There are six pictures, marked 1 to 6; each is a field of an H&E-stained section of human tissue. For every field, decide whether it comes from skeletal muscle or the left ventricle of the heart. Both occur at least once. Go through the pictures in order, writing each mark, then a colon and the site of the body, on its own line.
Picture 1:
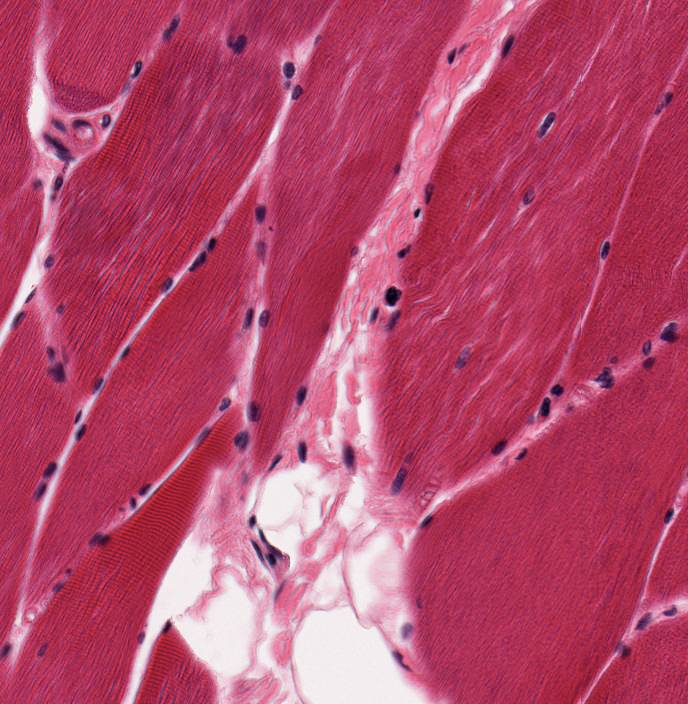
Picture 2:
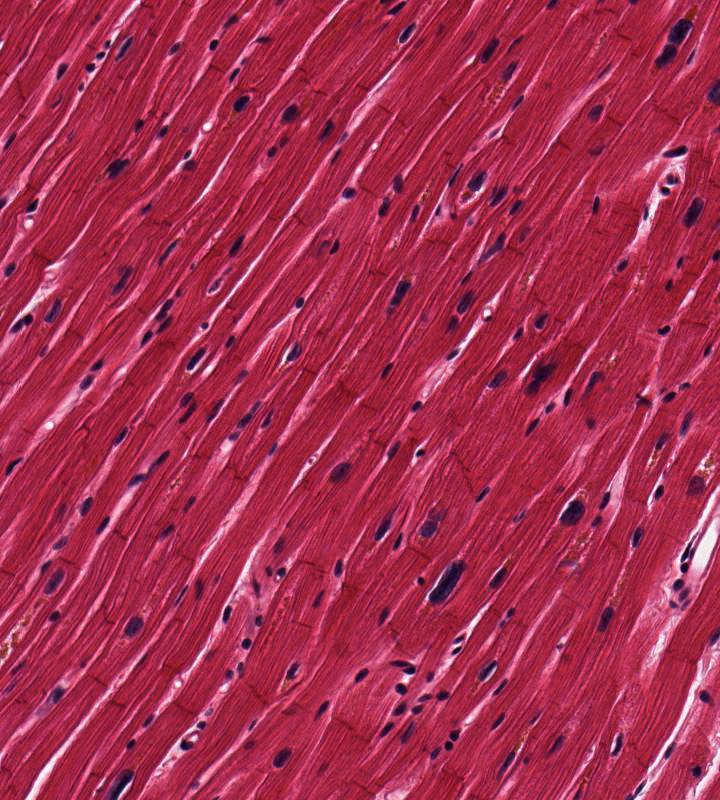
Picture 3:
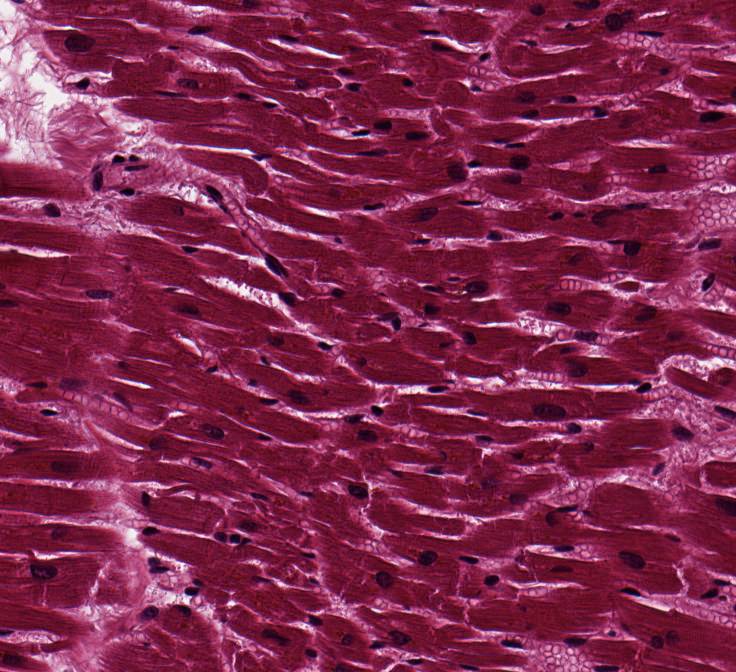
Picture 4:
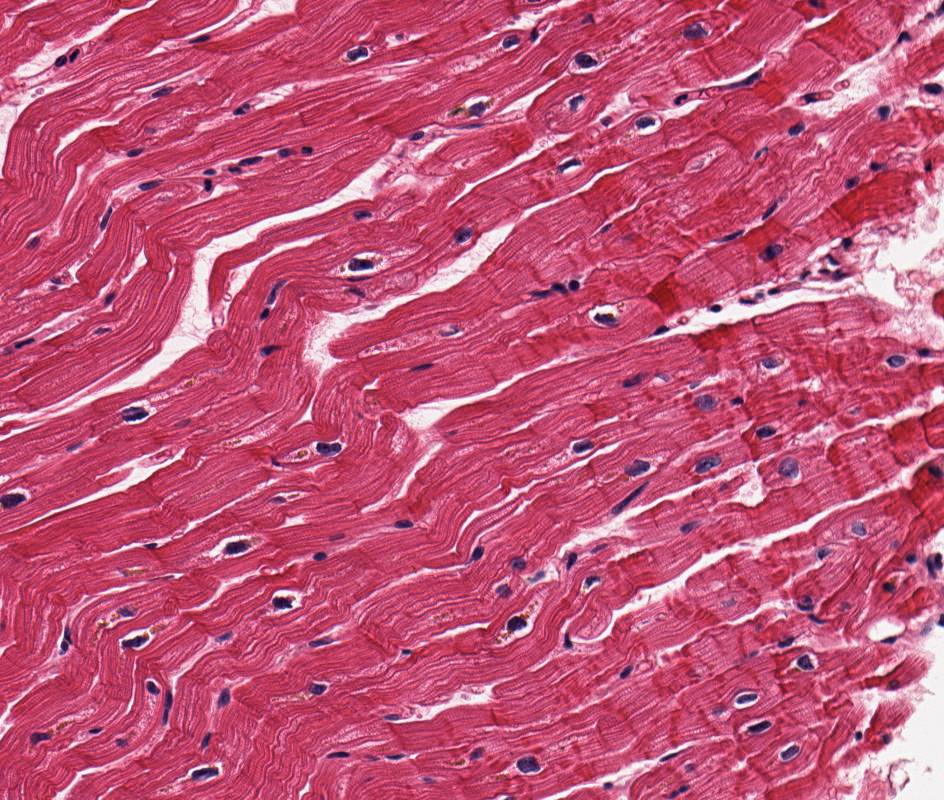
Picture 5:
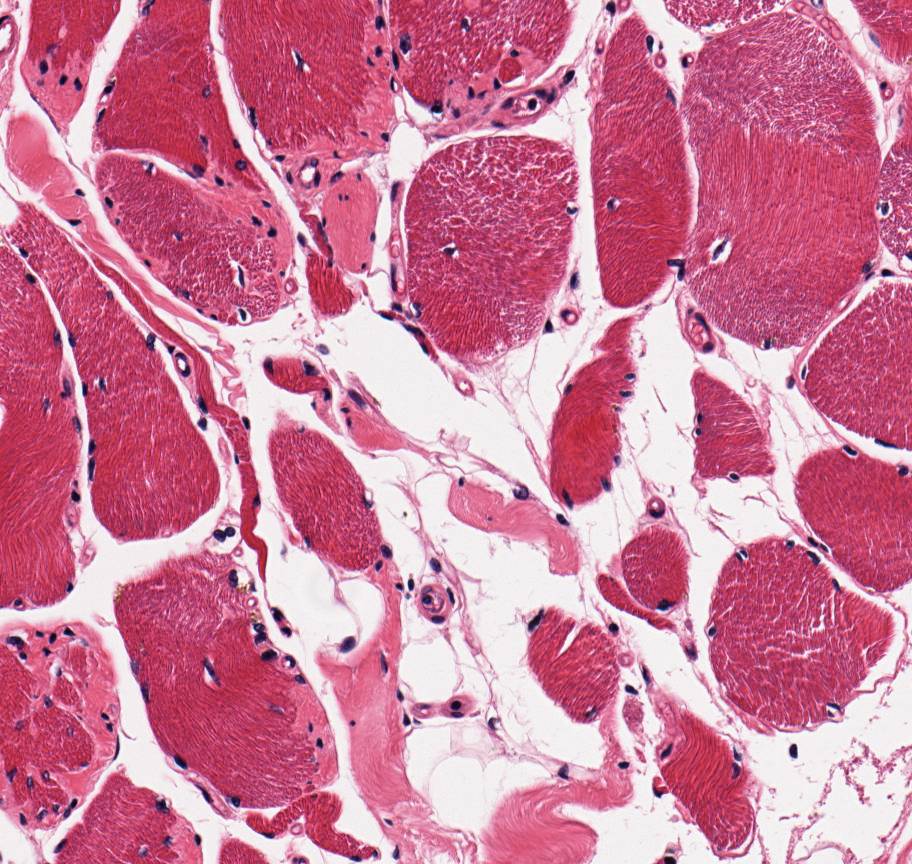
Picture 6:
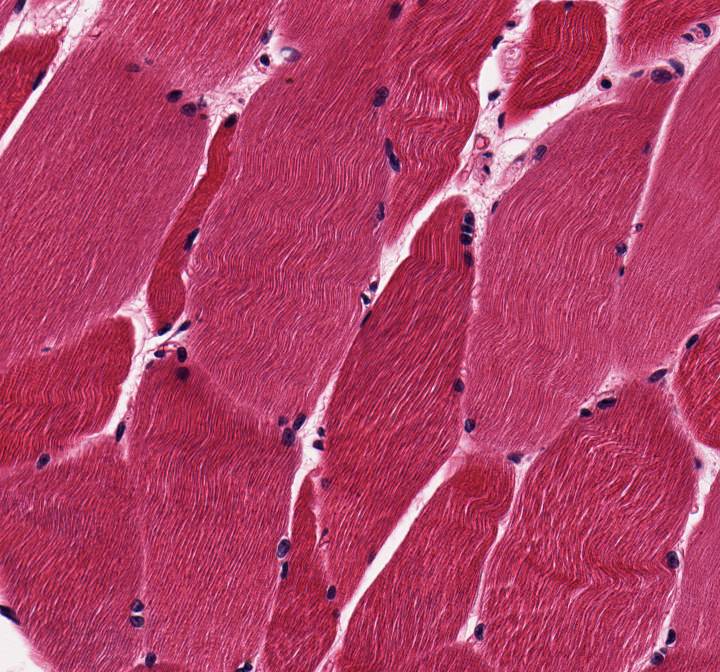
1: skeletal muscle
2: left ventricle of the heart
3: left ventricle of the heart
4: left ventricle of the heart
5: skeletal muscle
6: skeletal muscle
